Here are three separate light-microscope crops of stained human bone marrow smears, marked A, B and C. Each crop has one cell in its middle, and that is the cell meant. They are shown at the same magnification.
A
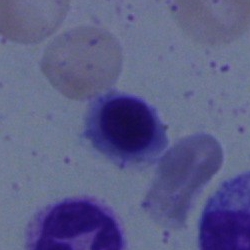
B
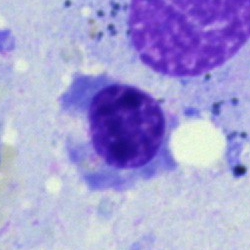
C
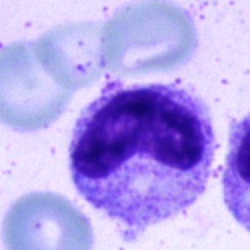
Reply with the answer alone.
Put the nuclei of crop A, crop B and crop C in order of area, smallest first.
A, B, C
